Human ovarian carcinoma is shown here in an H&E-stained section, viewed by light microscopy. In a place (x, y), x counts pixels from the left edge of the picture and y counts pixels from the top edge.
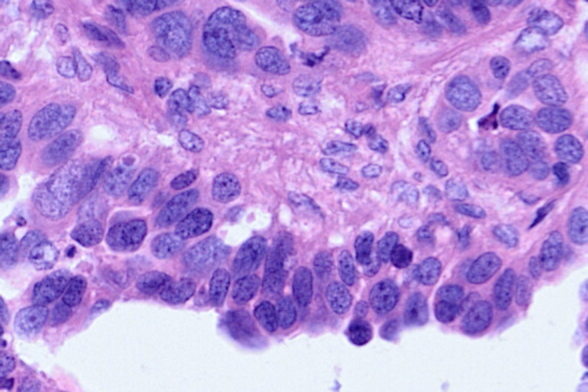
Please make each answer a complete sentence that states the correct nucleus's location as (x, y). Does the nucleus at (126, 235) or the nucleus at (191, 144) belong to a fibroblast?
Of the pair, the nucleus positioned at (191, 144) is that of a fibroblast.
